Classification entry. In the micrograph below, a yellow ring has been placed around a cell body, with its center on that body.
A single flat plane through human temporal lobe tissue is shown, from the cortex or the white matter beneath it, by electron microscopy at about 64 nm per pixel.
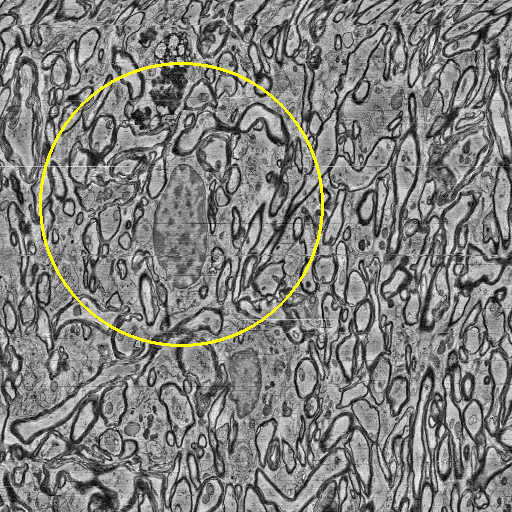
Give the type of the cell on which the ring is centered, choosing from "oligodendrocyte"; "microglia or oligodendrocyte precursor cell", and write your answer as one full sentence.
The cell body at the center of the yellow ring belongs to a microglial cell or oligodendrocyte precursor cell.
